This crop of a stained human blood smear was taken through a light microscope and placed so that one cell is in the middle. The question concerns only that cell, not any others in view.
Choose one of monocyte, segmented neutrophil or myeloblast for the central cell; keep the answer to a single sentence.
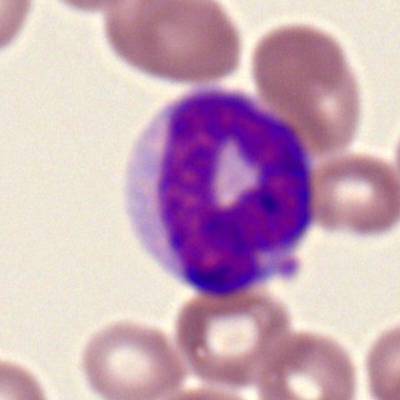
Whatever else lies nearby, the middle cell is a monocyte.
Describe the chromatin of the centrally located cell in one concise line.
Thanks for asking; the chromatin is coarsely clumped.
